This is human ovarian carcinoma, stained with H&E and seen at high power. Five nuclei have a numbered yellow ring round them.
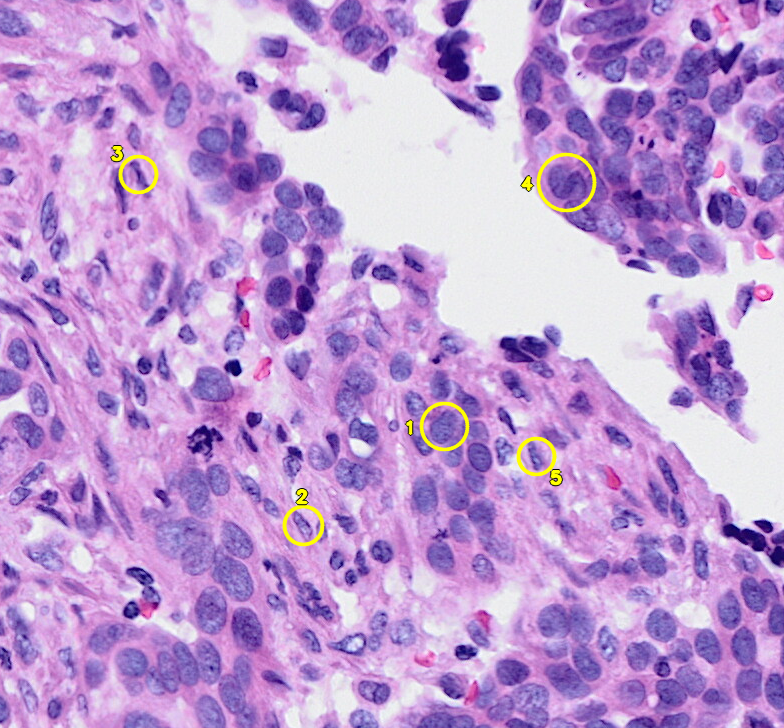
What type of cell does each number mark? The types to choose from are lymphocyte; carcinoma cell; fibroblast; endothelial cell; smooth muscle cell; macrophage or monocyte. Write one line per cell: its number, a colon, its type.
1: carcinoma cell
2: fibroblast
3: fibroblast
4: carcinoma cell
5: fibroblast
